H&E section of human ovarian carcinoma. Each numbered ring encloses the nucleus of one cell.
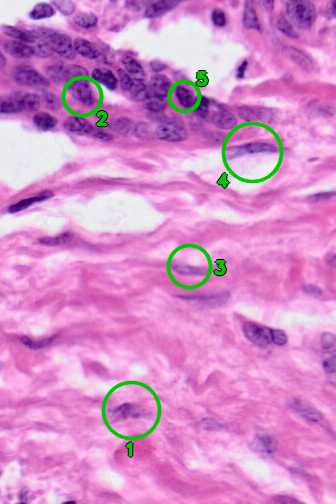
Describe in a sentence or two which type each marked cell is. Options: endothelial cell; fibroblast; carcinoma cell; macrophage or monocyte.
Cells 1, 3 and 4 are fibroblasts. Cells 2 and 5 are carcinoma cells.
